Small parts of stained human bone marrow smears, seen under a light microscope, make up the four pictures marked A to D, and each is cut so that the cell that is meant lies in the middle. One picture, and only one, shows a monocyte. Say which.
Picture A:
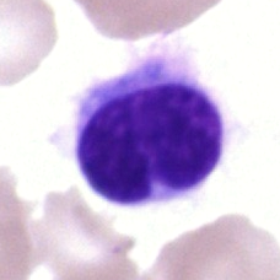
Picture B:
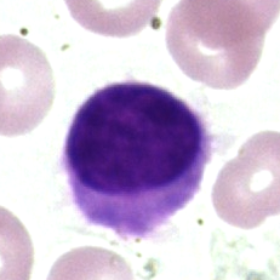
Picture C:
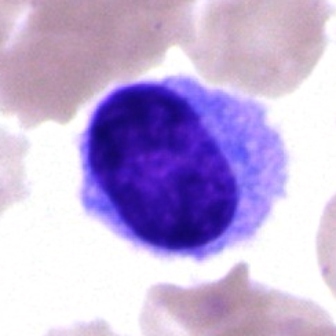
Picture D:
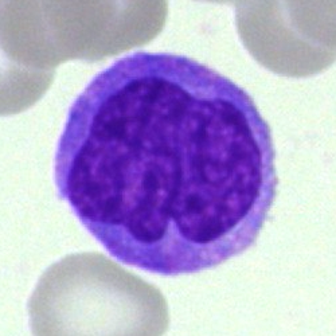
D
